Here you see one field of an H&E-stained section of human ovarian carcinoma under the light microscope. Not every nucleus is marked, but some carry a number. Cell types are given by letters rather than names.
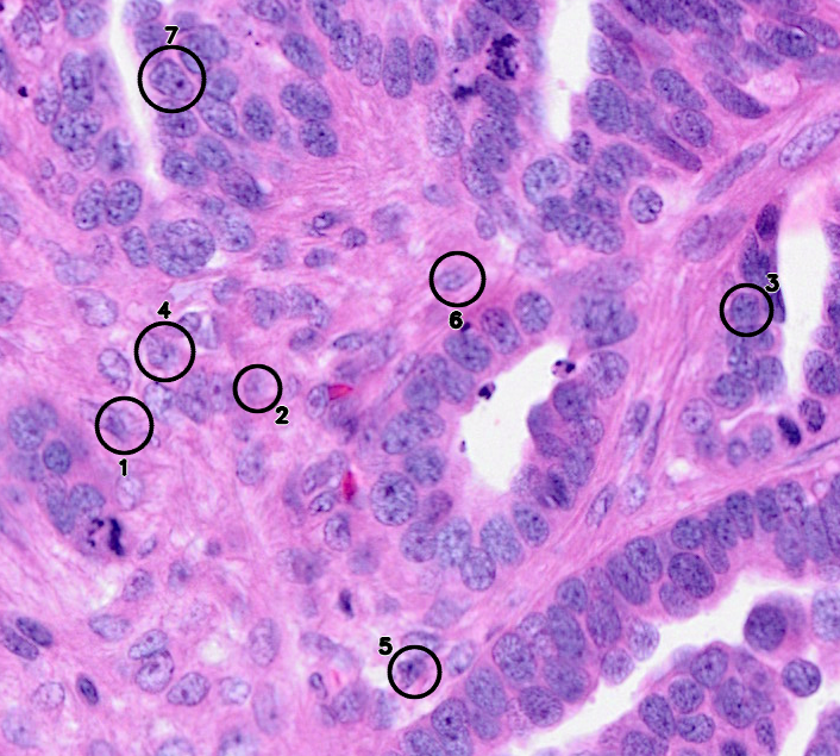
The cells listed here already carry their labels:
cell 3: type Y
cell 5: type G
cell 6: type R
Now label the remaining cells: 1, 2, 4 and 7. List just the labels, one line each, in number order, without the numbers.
type R
type R
type R
type Y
